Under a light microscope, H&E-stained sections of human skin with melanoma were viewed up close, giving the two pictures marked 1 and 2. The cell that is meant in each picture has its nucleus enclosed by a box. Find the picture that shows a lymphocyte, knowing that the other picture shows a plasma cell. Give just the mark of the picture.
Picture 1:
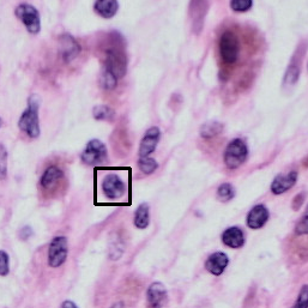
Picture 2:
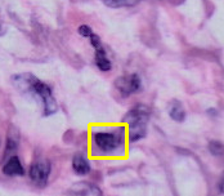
1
